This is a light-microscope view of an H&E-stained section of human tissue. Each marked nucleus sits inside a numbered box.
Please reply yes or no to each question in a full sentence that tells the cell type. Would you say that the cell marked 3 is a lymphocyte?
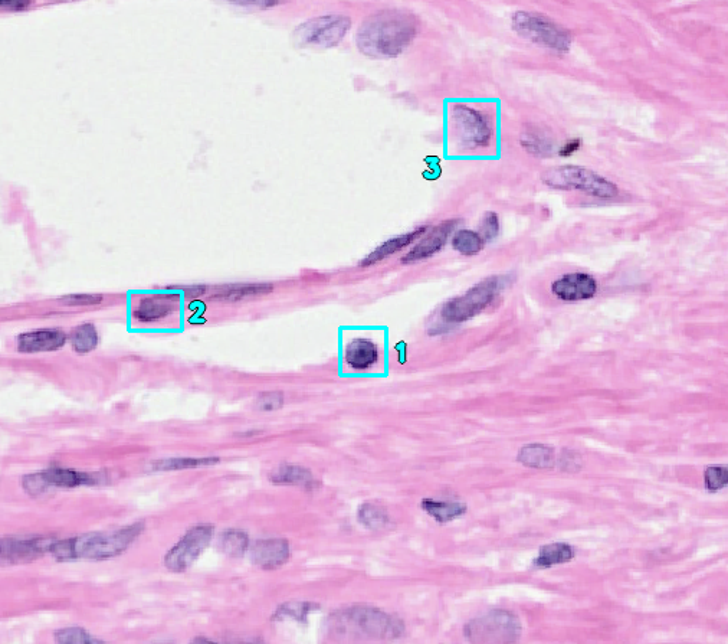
No, the cell tagged 3 is an endothelial cell, not a lymphocyte.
